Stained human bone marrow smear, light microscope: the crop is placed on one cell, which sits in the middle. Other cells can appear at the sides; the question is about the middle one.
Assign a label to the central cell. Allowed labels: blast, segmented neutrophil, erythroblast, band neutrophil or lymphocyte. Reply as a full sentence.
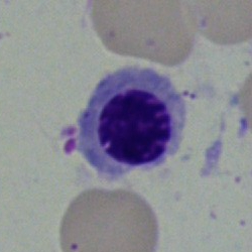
Here the cell in the middle is an erythroblast.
